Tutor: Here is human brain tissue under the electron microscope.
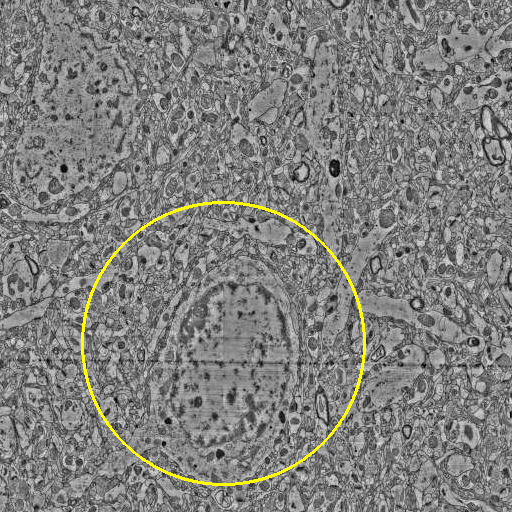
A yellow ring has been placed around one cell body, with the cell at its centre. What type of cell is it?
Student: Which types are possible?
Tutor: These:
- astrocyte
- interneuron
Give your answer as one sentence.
What the ring picks out here is an interneuron.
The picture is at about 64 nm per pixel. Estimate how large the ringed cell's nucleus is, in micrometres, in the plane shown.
In this plane, approximately 11 by 8 micrometers.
